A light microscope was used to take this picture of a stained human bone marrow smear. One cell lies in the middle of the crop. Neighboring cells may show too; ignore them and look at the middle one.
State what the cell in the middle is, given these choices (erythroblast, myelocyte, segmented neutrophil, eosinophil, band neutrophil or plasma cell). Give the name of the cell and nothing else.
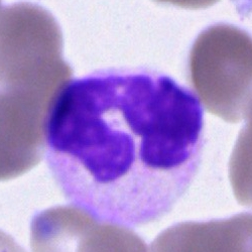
band neutrophil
